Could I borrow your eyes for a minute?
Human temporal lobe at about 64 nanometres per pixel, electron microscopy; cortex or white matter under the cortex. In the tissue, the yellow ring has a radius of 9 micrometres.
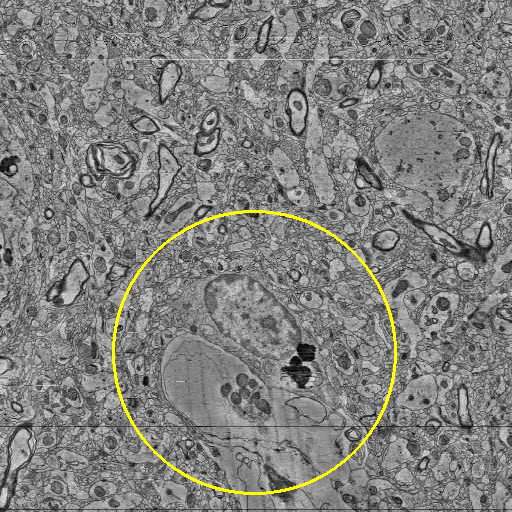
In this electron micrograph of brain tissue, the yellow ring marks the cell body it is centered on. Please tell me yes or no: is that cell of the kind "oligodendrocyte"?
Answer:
yes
